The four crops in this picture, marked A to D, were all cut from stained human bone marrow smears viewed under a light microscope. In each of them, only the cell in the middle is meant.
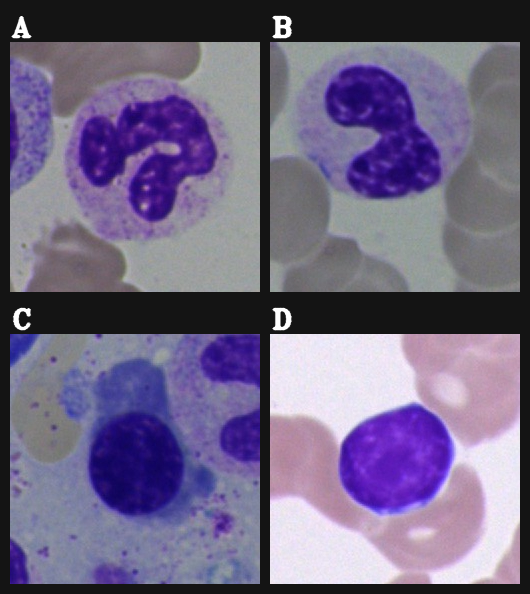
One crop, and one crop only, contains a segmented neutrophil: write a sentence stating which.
Of the crops shown, crop A depicts a segmented neutrophil.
